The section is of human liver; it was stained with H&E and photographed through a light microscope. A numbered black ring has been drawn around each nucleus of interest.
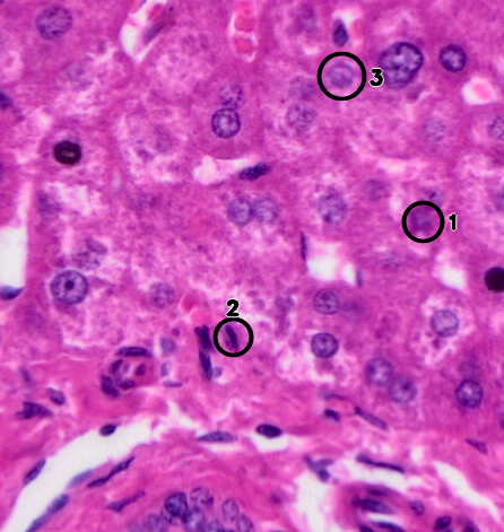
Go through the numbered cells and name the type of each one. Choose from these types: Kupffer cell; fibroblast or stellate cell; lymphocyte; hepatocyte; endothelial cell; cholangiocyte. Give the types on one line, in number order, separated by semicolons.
hepatocyte; fibroblast or stellate cell; hepatocyte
